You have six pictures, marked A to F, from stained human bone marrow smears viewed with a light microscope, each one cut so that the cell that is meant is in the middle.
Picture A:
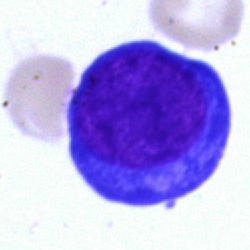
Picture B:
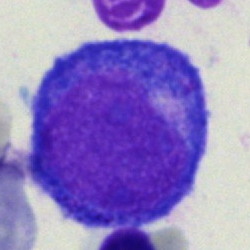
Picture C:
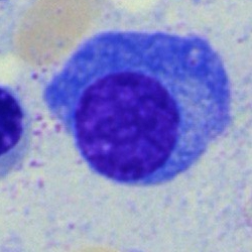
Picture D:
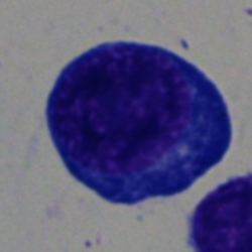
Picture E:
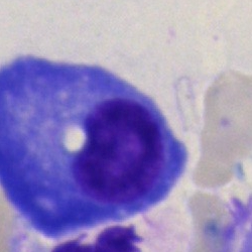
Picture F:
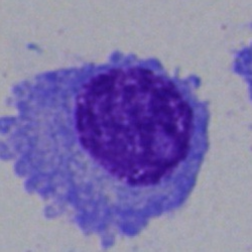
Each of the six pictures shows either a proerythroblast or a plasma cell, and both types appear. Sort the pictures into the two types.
A: proerythroblast
B: proerythroblast
C: plasma cell
D: proerythroblast
E: plasma cell
F: plasma cell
